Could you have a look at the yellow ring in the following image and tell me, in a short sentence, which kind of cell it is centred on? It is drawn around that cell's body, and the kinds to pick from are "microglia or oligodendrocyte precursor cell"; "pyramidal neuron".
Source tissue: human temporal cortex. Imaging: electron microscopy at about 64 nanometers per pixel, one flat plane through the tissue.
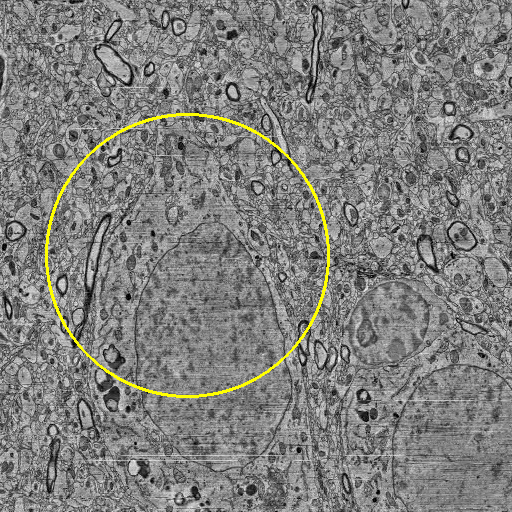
The ring is centred on the body of a pyramidal neuron.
